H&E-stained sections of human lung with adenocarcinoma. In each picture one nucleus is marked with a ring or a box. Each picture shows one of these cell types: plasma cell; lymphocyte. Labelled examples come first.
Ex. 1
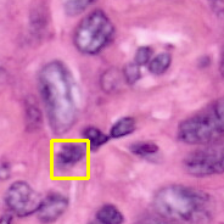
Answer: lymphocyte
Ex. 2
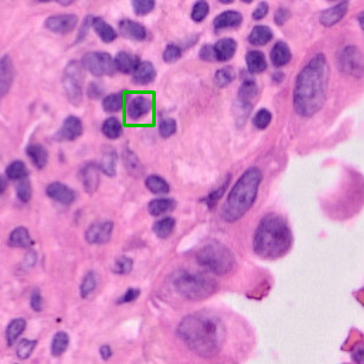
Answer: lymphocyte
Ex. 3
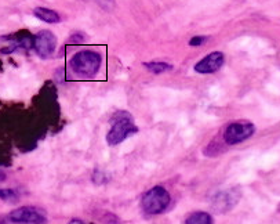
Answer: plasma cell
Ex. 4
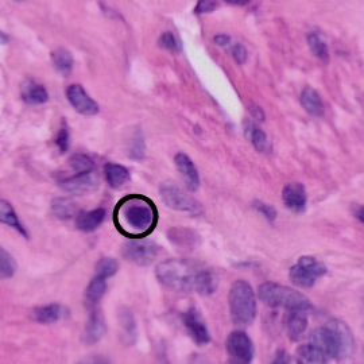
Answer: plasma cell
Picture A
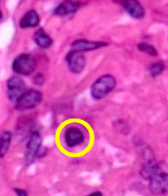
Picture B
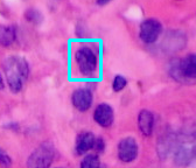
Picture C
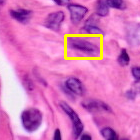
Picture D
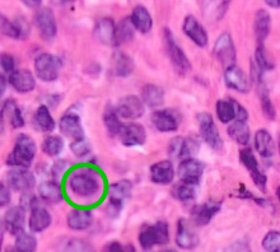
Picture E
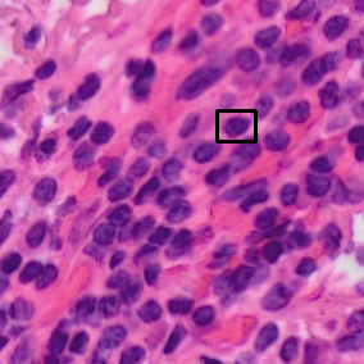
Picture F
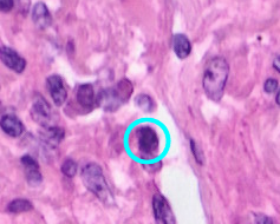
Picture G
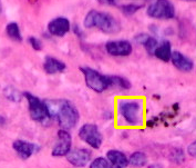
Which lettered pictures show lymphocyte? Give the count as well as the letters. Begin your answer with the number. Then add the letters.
4, namely B, D, E, G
